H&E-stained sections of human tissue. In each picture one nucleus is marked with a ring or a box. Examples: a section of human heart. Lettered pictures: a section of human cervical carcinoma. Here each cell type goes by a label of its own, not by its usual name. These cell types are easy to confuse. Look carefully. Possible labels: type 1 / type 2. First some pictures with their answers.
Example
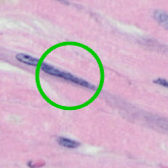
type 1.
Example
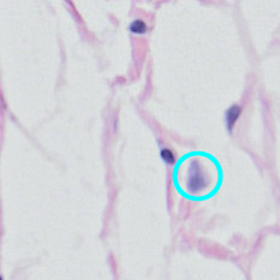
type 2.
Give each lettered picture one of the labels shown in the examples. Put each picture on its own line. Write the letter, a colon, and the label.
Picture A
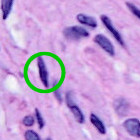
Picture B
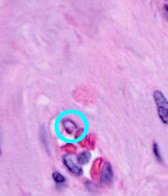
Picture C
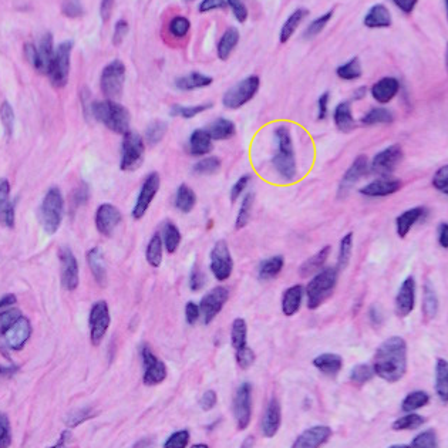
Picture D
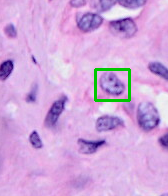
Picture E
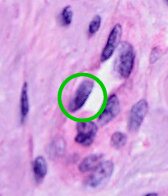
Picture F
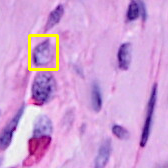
A: type 2.
B: type 1.
C: type 2.
D: type 1.
E: type 1.
F: type 1.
